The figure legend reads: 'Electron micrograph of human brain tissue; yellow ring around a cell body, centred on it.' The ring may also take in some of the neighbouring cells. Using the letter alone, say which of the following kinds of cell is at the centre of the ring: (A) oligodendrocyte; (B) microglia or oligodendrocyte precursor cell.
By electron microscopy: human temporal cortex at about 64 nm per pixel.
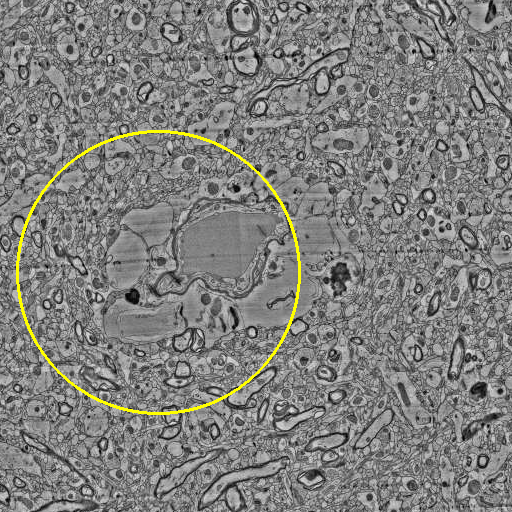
B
